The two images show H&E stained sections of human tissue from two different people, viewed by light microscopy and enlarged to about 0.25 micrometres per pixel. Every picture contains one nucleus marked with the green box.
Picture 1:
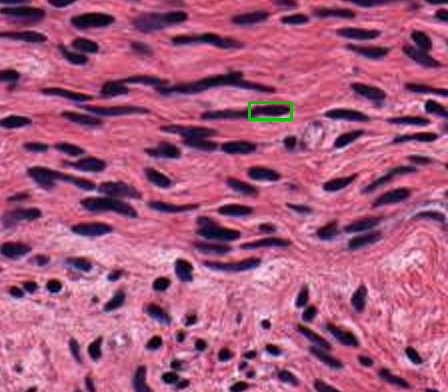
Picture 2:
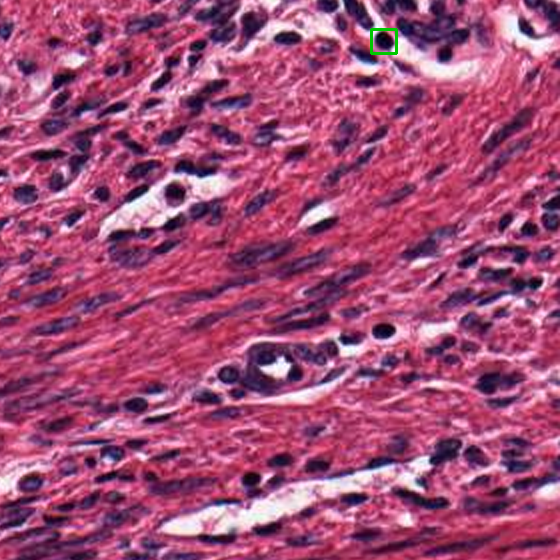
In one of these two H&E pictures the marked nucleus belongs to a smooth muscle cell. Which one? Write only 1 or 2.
1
